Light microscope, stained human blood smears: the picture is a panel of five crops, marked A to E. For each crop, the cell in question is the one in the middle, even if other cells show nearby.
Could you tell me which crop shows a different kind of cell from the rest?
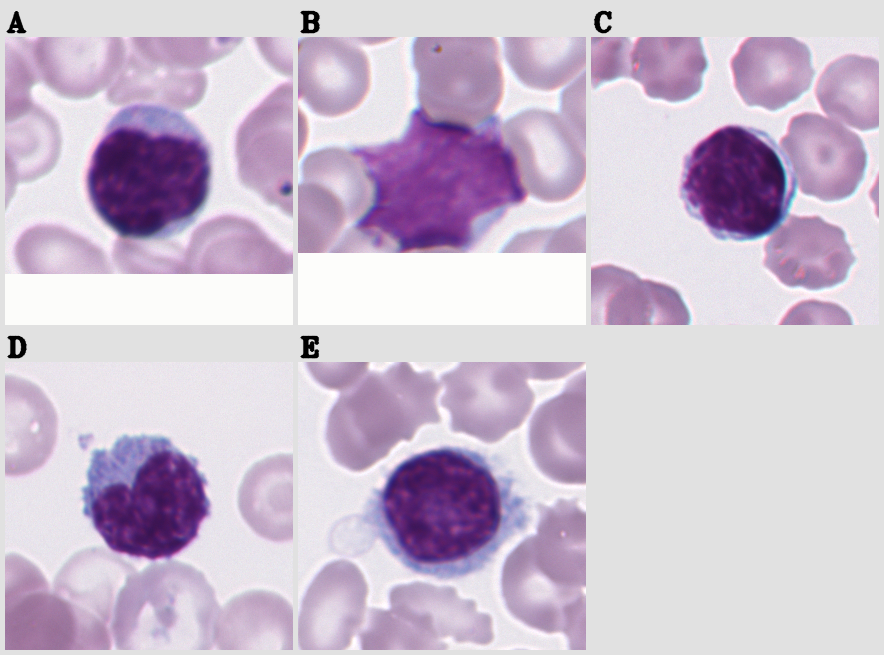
E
